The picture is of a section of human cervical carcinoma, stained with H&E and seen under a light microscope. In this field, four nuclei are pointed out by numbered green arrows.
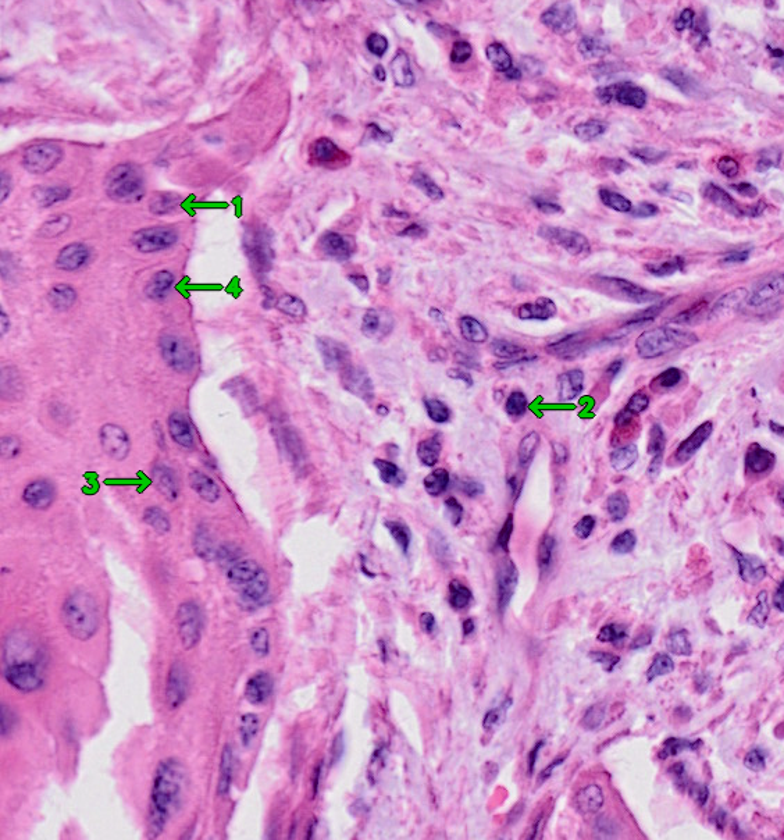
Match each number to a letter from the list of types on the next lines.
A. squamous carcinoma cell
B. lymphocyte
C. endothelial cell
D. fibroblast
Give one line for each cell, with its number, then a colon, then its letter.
1: A
2: B
3: A
4: A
